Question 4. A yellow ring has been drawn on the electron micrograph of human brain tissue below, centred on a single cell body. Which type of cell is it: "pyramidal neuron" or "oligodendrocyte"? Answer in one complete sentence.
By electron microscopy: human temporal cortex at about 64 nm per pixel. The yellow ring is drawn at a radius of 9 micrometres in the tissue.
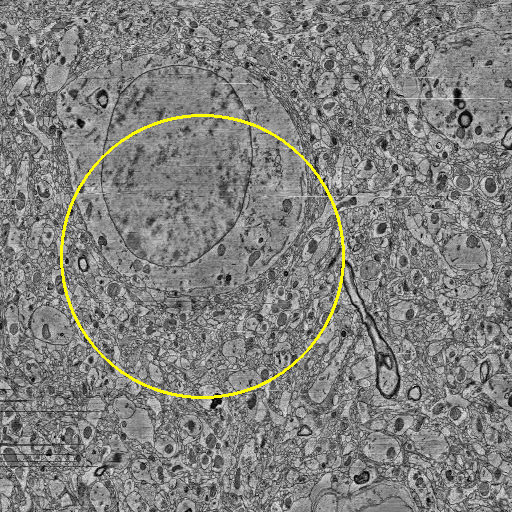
This cell body belongs to a pyramidal neuron.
